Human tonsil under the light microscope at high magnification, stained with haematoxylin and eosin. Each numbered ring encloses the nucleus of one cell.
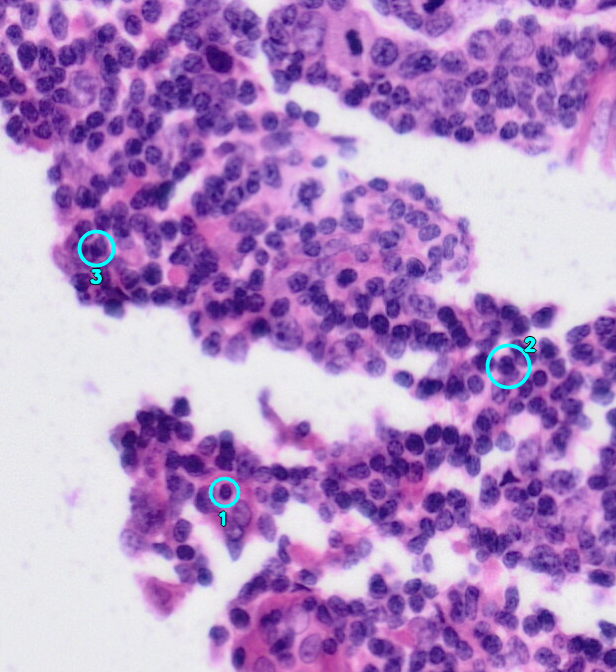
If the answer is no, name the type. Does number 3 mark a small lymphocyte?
Yes.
